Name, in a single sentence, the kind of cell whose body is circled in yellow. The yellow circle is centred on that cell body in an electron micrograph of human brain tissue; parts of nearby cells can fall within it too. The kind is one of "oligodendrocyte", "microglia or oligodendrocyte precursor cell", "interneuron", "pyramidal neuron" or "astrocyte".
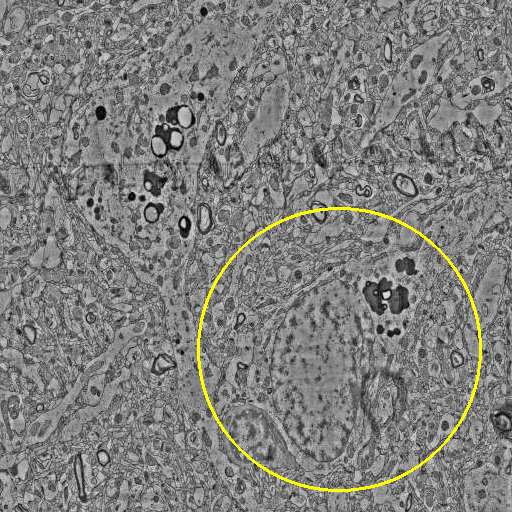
The circled cell body belongs to an interneuron.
